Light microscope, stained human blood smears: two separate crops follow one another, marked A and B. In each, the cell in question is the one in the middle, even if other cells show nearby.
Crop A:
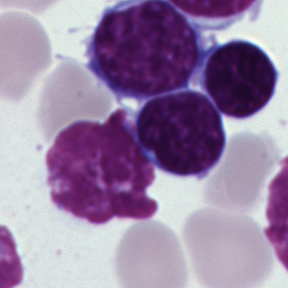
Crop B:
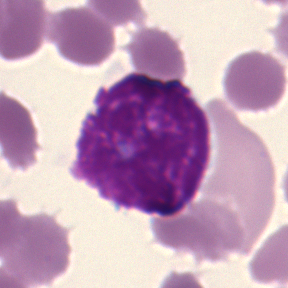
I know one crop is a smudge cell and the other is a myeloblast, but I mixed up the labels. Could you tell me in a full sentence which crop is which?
The cell centred in crop A is a myeloblast, while the one centred in crop B is a smudge cell.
